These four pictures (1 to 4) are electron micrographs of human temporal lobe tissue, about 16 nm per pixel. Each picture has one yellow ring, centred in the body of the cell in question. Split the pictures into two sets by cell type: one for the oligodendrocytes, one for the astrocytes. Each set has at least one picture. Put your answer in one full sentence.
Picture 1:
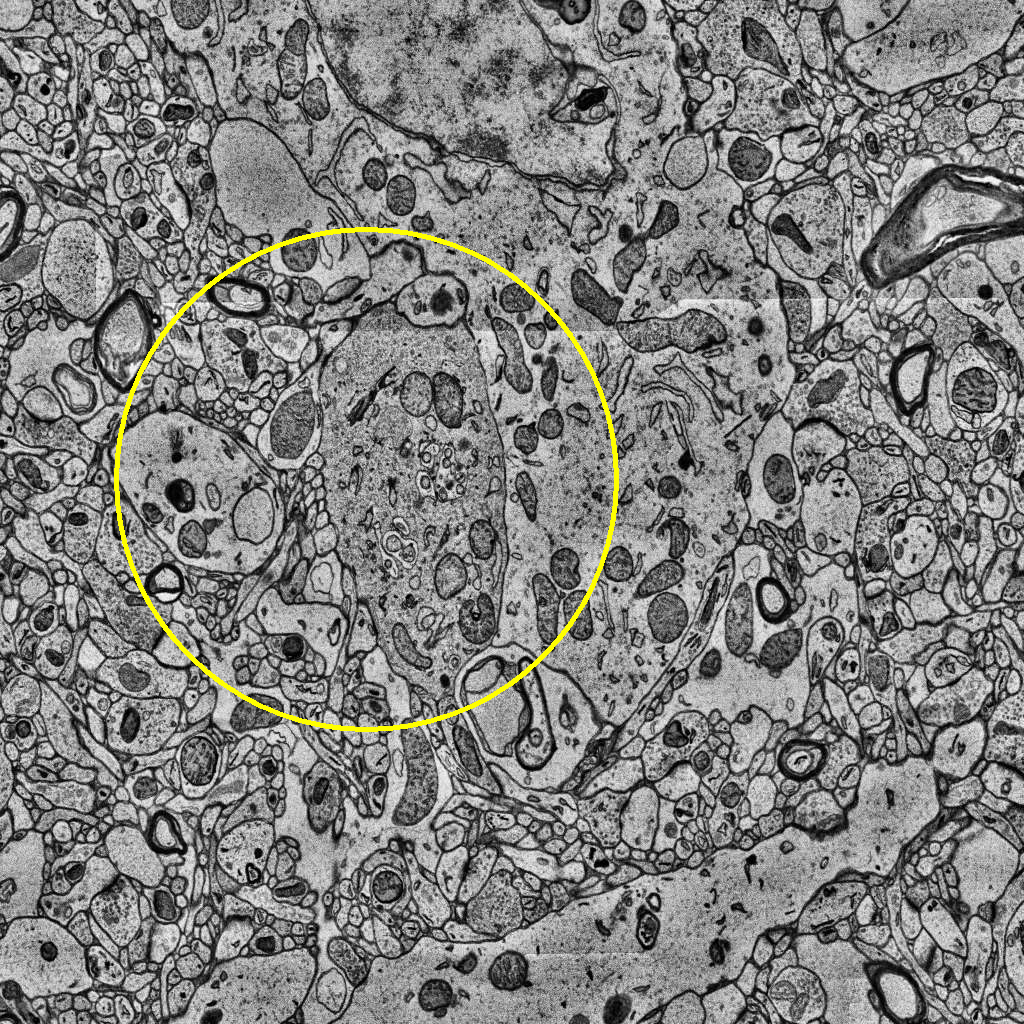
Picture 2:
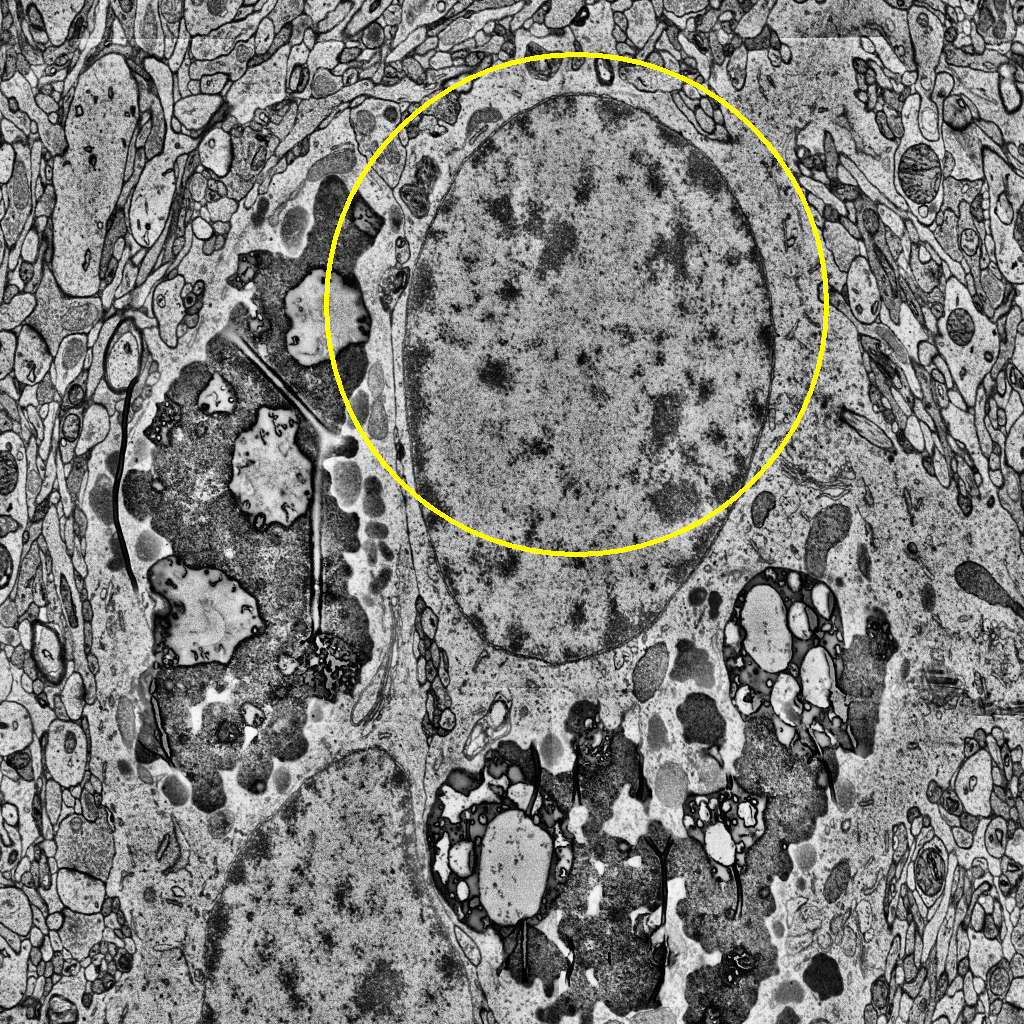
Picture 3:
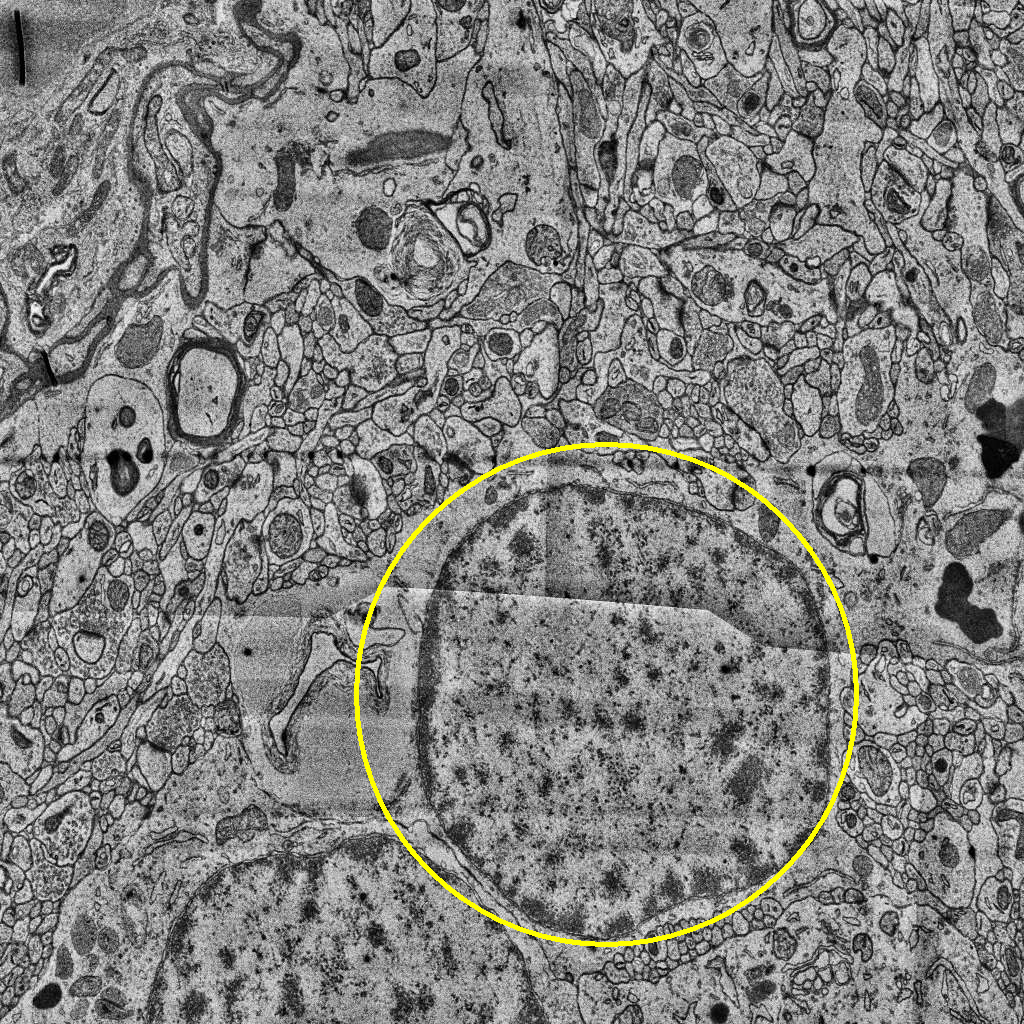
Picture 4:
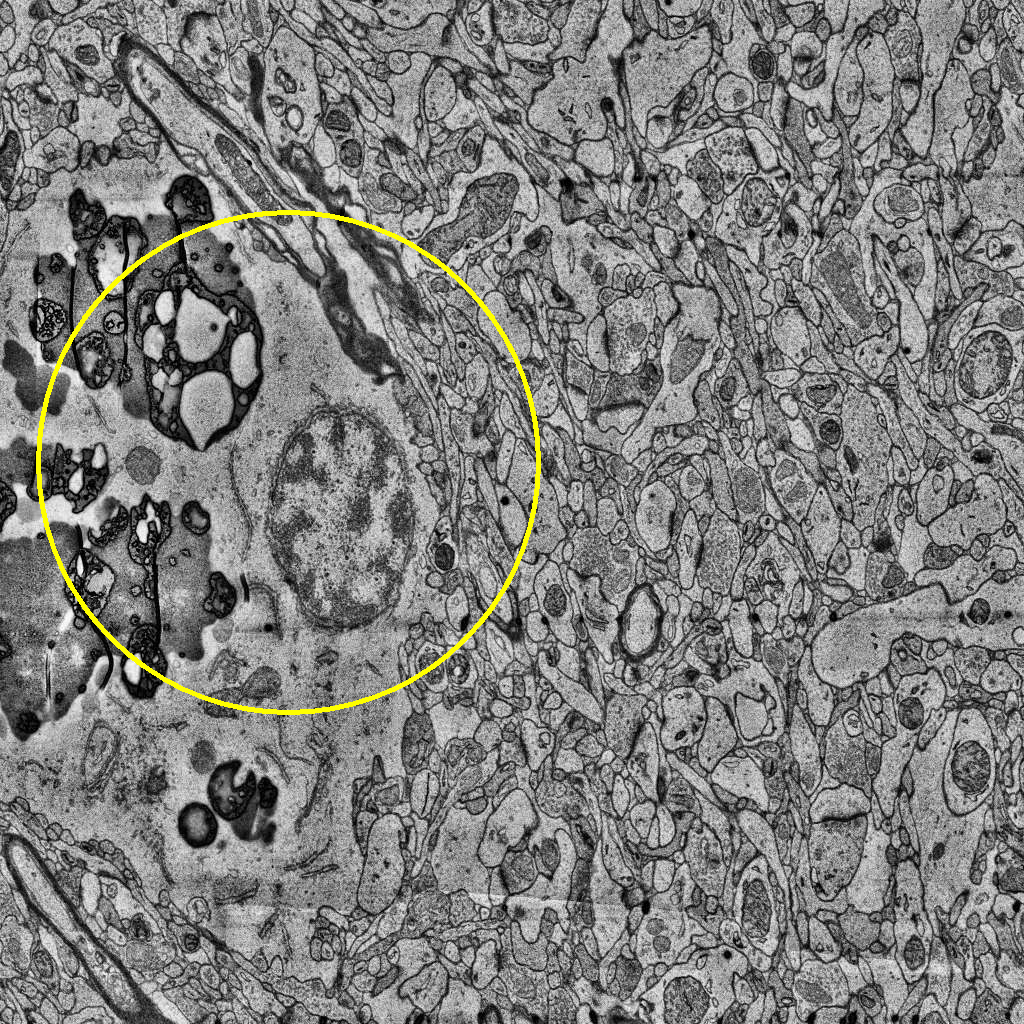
Picture 1 shows an oligodendrocyte, and pictures 2, 3 and 4 show astrocytes.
